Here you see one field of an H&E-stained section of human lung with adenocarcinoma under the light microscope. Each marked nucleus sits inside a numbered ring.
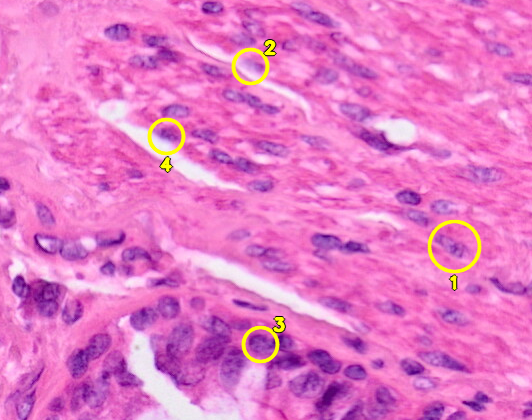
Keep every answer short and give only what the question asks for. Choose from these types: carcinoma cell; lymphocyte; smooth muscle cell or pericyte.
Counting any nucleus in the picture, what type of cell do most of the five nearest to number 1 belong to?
smooth muscle cell or pericyte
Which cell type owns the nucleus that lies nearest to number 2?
smooth muscle cell or pericyte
